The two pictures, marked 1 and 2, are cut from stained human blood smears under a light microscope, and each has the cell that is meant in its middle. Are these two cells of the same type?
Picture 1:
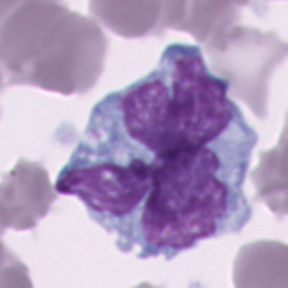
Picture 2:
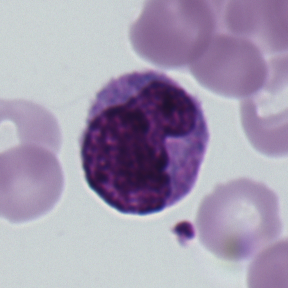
yes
